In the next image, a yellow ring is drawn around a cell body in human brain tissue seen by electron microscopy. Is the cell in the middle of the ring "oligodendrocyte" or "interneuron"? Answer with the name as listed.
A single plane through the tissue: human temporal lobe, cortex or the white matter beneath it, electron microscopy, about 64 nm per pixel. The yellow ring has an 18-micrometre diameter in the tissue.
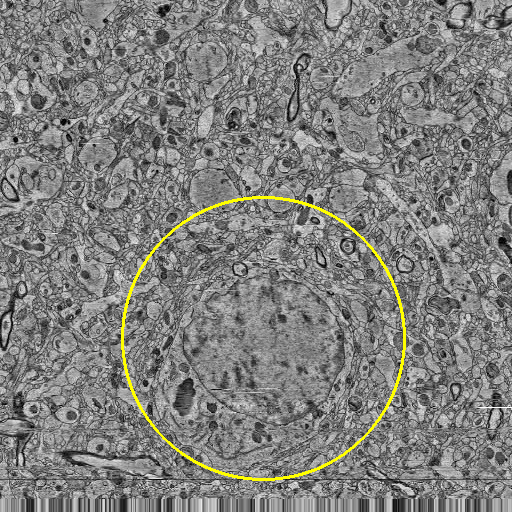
interneuron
